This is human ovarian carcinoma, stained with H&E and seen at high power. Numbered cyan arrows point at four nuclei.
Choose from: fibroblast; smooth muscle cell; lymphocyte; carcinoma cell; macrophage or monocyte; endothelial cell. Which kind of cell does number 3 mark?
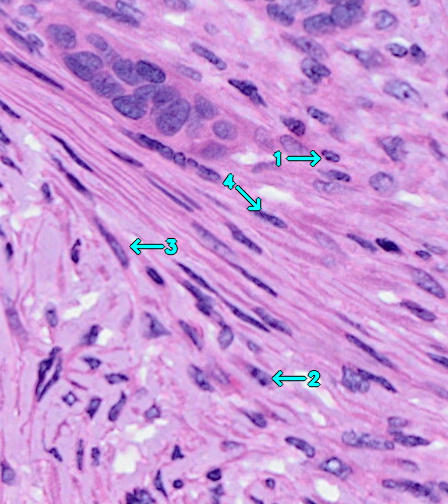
fibroblast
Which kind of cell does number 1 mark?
lymphocyte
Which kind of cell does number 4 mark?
fibroblast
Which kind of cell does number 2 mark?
fibroblast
